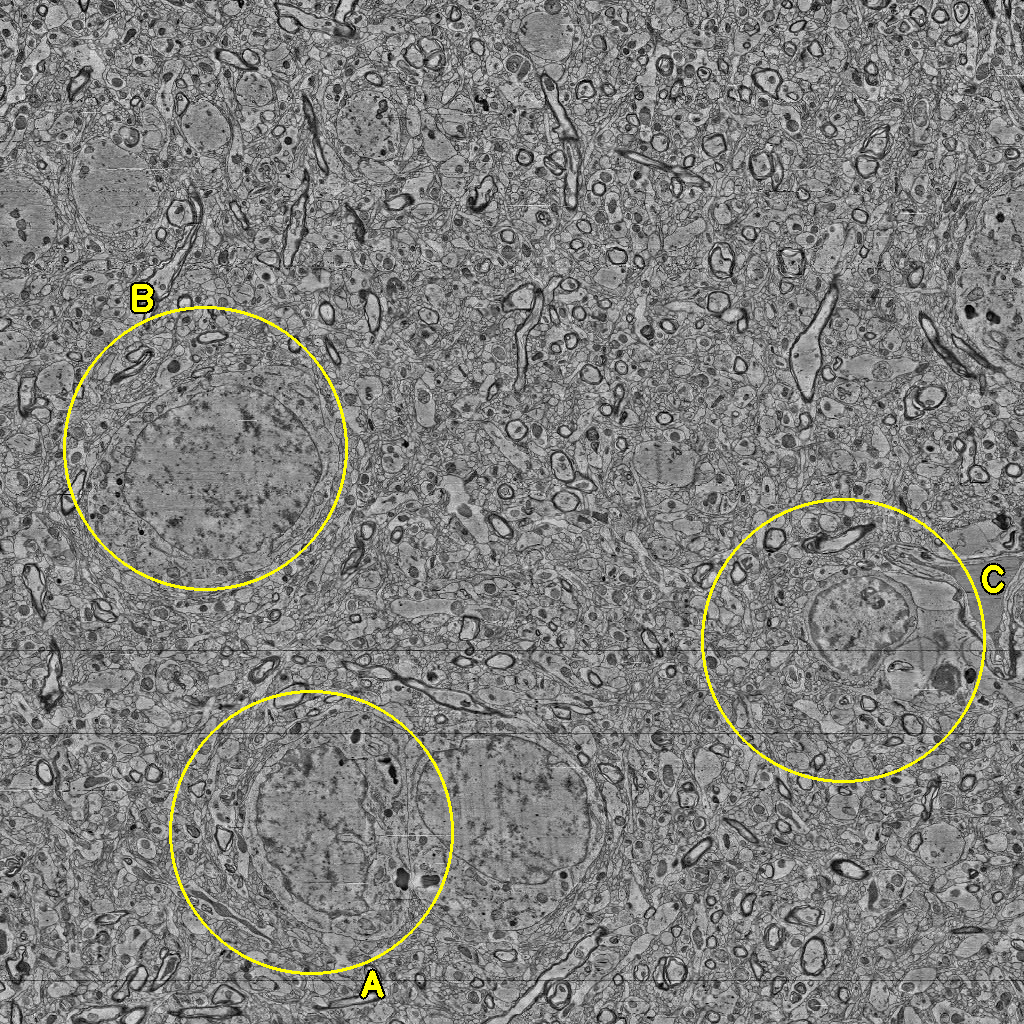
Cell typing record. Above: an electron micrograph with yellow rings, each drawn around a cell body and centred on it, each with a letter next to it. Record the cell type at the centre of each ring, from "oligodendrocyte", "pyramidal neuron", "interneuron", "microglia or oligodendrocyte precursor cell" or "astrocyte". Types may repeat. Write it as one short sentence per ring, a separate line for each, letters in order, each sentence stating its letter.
Ring A circles an interneuron.
Ring B circles a pyramidal neuron.
Ring C circles an oligodendrocyte.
